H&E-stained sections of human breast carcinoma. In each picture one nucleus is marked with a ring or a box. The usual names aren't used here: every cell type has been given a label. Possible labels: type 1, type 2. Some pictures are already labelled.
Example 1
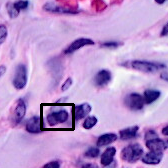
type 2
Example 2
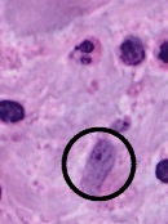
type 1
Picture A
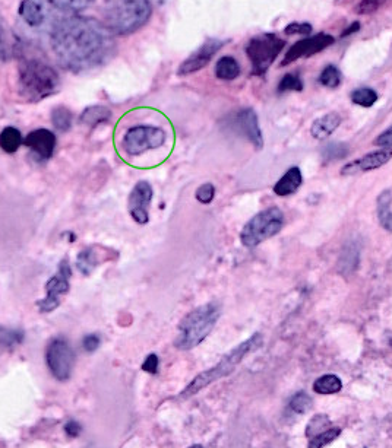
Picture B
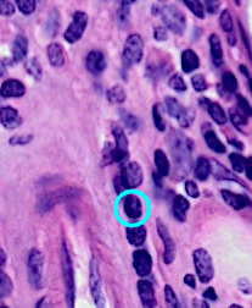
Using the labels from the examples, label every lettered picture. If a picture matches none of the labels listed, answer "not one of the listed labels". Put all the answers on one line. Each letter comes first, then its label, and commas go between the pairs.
A not one of the listed labels, B type 2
